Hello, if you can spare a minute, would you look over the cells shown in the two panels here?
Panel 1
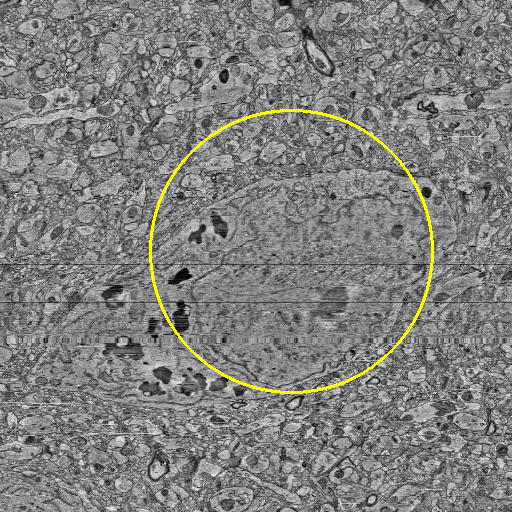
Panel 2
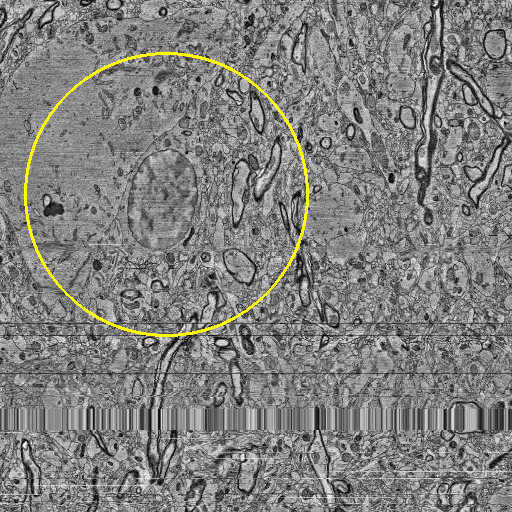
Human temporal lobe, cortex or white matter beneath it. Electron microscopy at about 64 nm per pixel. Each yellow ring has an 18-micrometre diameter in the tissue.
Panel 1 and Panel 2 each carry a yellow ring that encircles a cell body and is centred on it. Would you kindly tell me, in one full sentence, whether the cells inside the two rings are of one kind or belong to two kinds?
The cells at the centres of the rings in Panel 1 and Panel 2 belong to two kinds.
